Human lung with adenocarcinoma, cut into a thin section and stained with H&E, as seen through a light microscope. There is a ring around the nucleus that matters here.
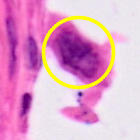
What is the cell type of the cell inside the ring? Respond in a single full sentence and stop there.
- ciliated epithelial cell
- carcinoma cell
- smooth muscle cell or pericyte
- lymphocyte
The category to which the cell inside the ring belongs is that of a carcinoma cell.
